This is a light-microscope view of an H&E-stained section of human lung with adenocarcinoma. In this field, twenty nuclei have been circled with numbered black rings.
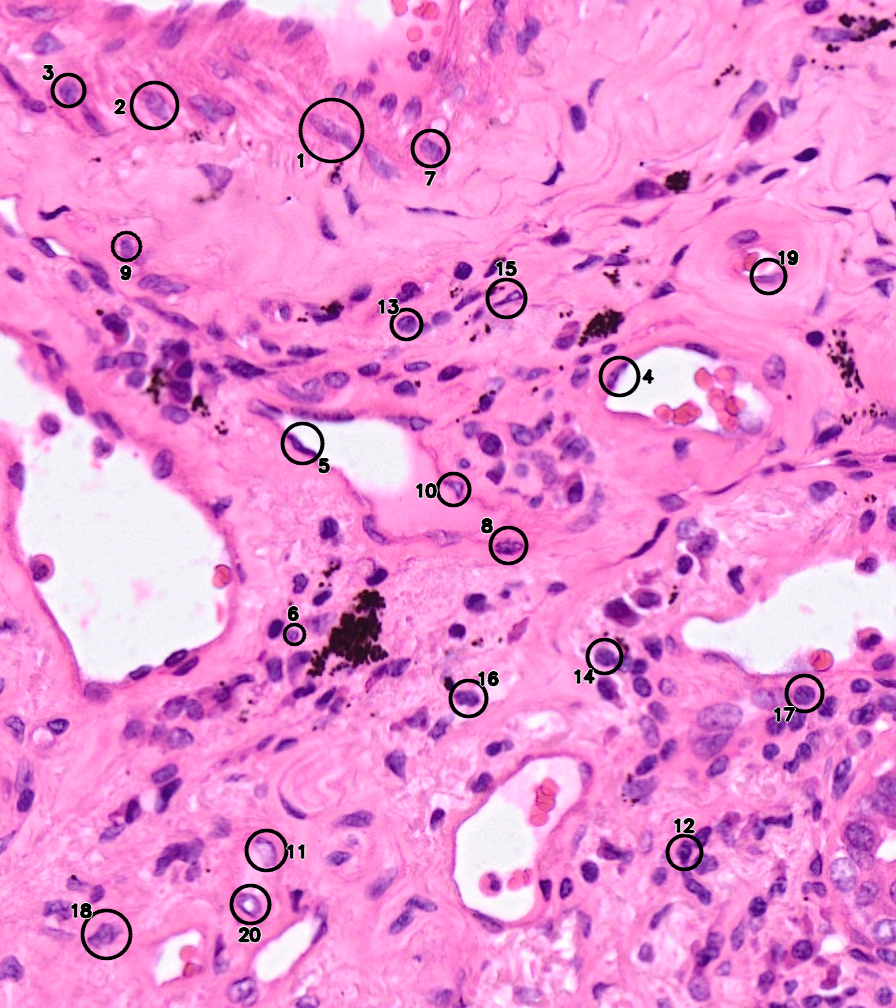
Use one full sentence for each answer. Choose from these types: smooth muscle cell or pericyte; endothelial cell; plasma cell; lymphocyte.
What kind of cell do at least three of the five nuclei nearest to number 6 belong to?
Most of the five nuclei nearest to number 6 are those of plasma cells.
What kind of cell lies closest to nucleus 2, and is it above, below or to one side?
Lying to the right of nucleus 2, the nearest nucleus is that of a smooth muscle cell or pericyte.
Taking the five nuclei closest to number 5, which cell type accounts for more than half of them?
The majority of the five nuclei closest to number 5 belong to endothelial cells.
